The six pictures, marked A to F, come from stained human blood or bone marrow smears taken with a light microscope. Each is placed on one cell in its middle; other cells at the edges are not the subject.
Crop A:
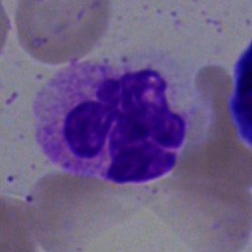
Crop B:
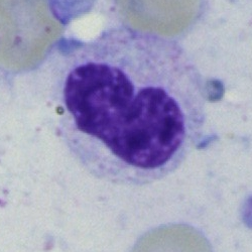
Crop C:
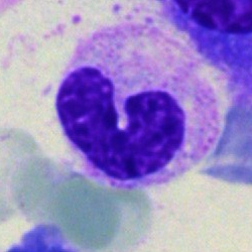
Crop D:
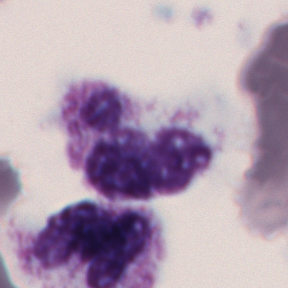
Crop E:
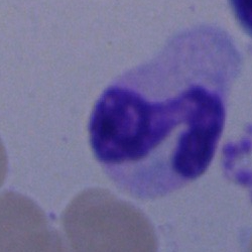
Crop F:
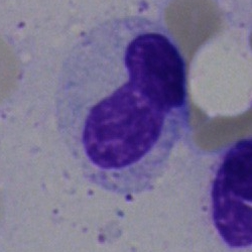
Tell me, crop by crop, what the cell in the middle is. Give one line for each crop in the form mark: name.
A: segmented neutrophil
B: band neutrophil
C: band neutrophil
D: segmented neutrophil
E: band neutrophil
F: band neutrophil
